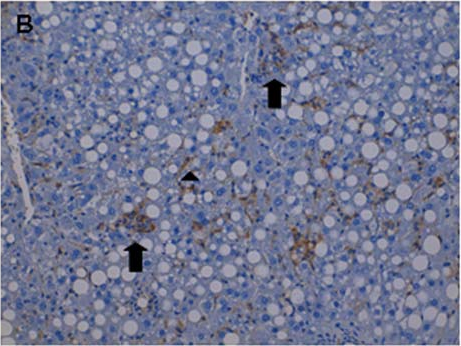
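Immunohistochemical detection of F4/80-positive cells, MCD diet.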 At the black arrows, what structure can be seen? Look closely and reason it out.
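The arrows point to groups of several brown-stained cells packed together. These groups sit among hepatocytes filled with clear vacuoles. That points to this answer: macrophage clusters.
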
